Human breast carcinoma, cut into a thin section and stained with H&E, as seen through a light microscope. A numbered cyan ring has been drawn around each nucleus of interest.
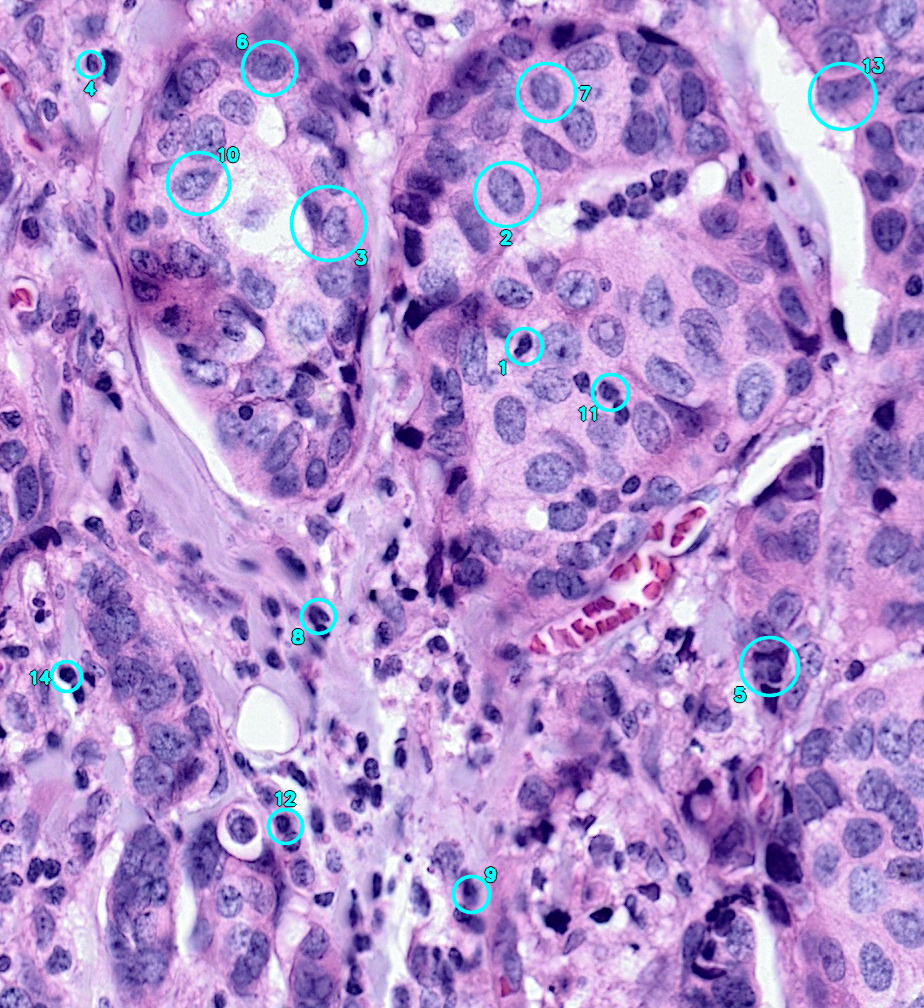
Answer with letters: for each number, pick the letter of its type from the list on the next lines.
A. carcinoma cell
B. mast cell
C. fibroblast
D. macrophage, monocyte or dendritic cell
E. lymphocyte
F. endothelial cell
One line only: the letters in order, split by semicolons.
E; A; A; E; A; A; A; E; E; A; E; E; A; E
